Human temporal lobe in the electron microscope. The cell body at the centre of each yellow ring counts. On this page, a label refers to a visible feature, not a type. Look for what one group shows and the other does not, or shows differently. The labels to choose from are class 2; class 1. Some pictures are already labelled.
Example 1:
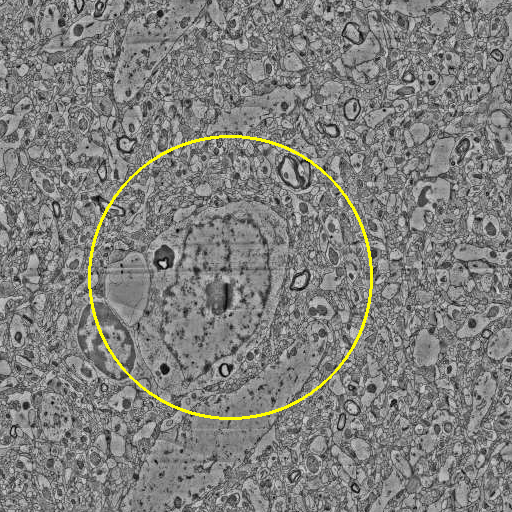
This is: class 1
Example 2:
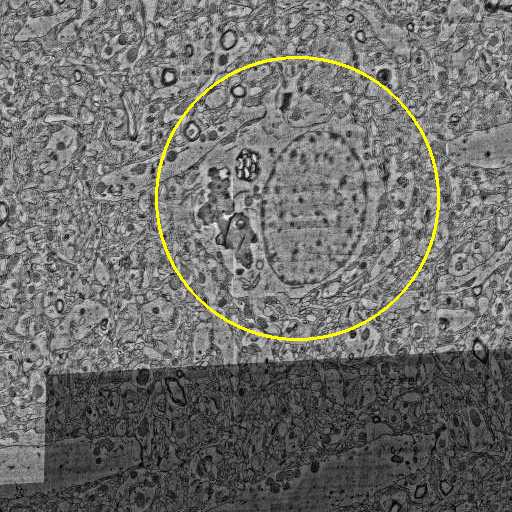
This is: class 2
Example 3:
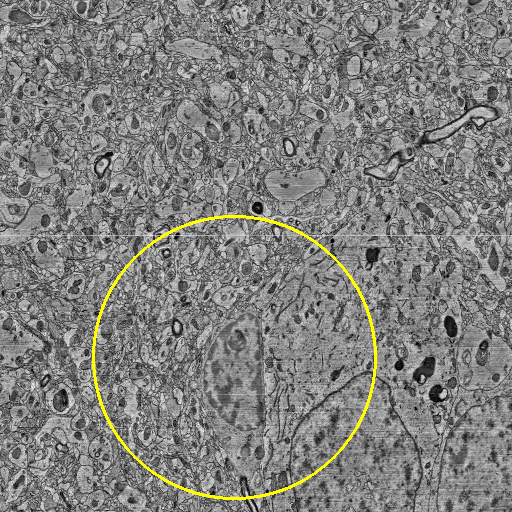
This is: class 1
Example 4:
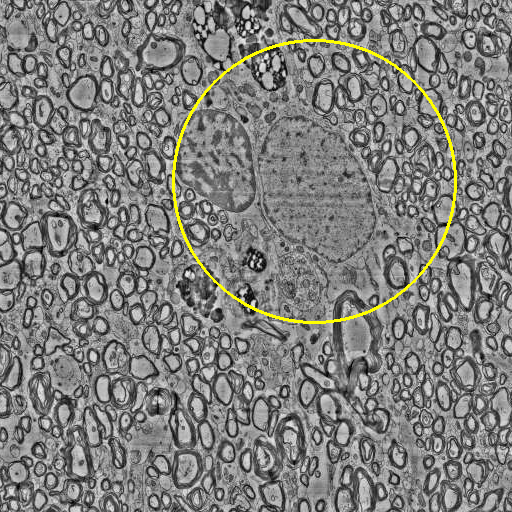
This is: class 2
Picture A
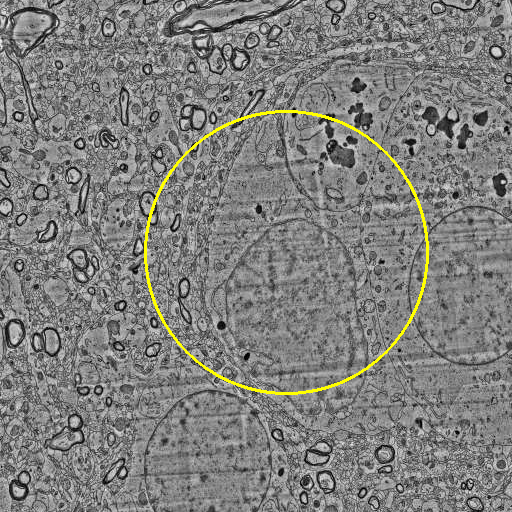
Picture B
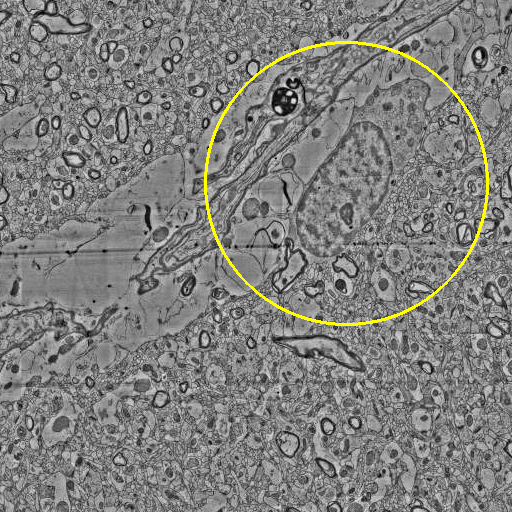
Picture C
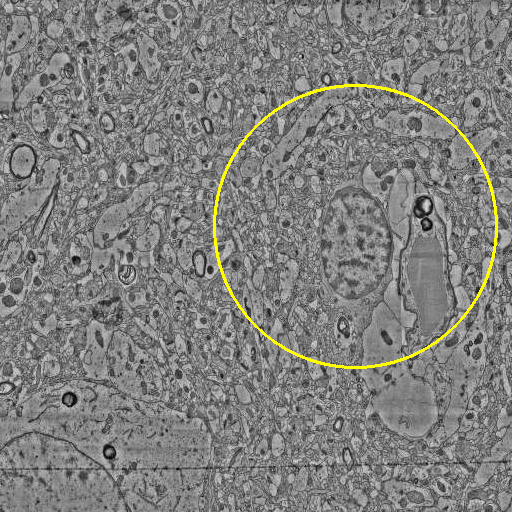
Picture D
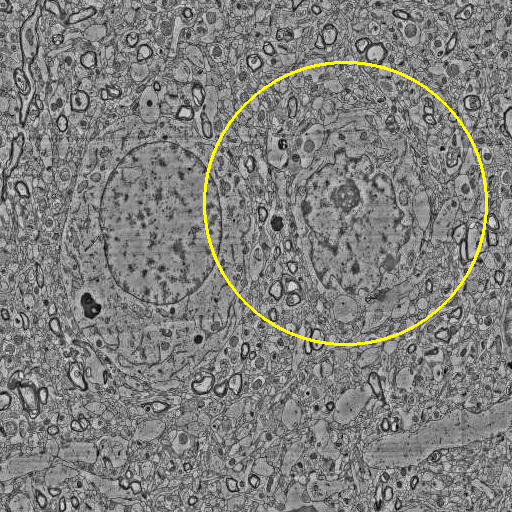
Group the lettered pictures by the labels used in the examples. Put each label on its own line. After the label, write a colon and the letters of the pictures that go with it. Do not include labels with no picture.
class 2: A, C
class 1: B, D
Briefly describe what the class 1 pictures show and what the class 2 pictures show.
In class 1: nucleolus seen. In class 2: no nucleolus seen.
